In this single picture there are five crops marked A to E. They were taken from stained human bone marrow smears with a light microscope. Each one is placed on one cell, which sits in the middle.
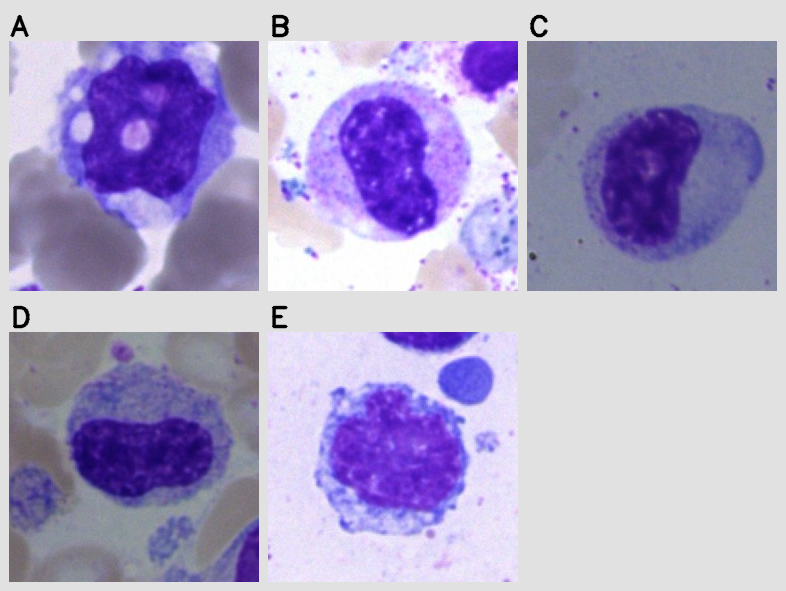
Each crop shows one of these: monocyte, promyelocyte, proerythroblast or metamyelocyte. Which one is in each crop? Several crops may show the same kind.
A: monocyte
B: metamyelocyte
C: metamyelocyte
D: metamyelocyte
E: monocyte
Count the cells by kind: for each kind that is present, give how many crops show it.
metamyelocyte: 3
monocyte: 2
